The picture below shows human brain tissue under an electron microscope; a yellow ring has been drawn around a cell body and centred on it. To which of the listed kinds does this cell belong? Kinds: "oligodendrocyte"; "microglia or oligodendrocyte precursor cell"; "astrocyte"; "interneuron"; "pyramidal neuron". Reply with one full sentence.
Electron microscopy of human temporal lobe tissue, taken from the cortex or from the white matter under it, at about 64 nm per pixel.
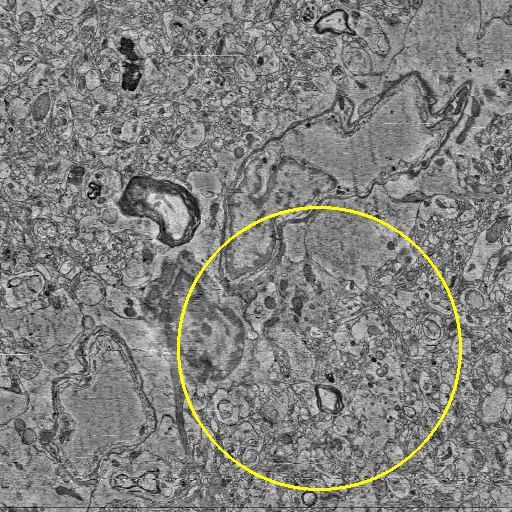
It is an oligodendrocyte that the yellow ring in the picture is centred on.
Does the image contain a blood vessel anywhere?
Yes, the image shows a blood vessel.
